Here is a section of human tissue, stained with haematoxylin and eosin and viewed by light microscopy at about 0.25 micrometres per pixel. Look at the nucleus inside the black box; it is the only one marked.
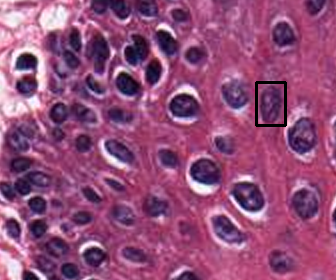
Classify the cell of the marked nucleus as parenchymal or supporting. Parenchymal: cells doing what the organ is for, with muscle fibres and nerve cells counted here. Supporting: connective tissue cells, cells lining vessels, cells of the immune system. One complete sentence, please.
The parenchymal cell to which the marked nucleus belongs is a squamous epithelial cell.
